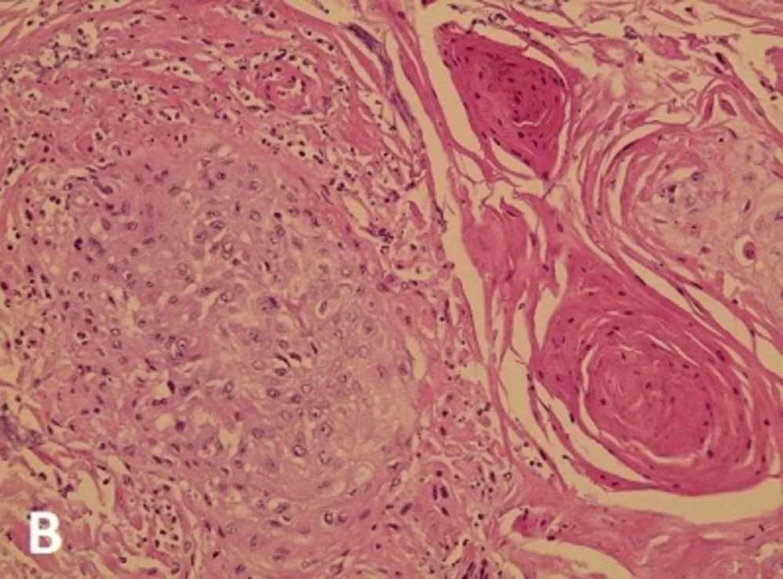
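This carcinoma has differentiated toward squamous epithelium. On the left lies a large nest of polygonal tumour cells with abundant pale pink cytoplasm and roundish nuclei. On the right, deep pink keratin is laid down in concentric, onion-like layers to form keratin pearls. The nests are set in a pink fibrous stroma with scattered spindle-shaped cells.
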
